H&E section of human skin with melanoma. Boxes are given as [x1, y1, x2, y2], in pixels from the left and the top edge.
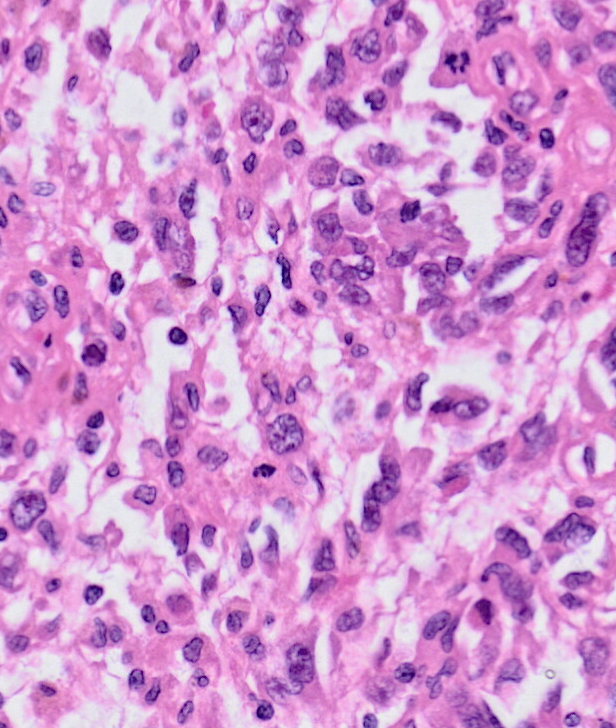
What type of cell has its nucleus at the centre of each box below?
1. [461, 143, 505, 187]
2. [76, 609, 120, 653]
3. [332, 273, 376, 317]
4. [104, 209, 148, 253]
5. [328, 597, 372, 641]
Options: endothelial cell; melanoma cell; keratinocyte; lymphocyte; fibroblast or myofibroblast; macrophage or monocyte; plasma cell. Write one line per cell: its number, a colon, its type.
1: melanoma cell
2: macrophage or monocyte
3: melanoma cell
4: macrophage or monocyte
5: macrophage or monocyte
